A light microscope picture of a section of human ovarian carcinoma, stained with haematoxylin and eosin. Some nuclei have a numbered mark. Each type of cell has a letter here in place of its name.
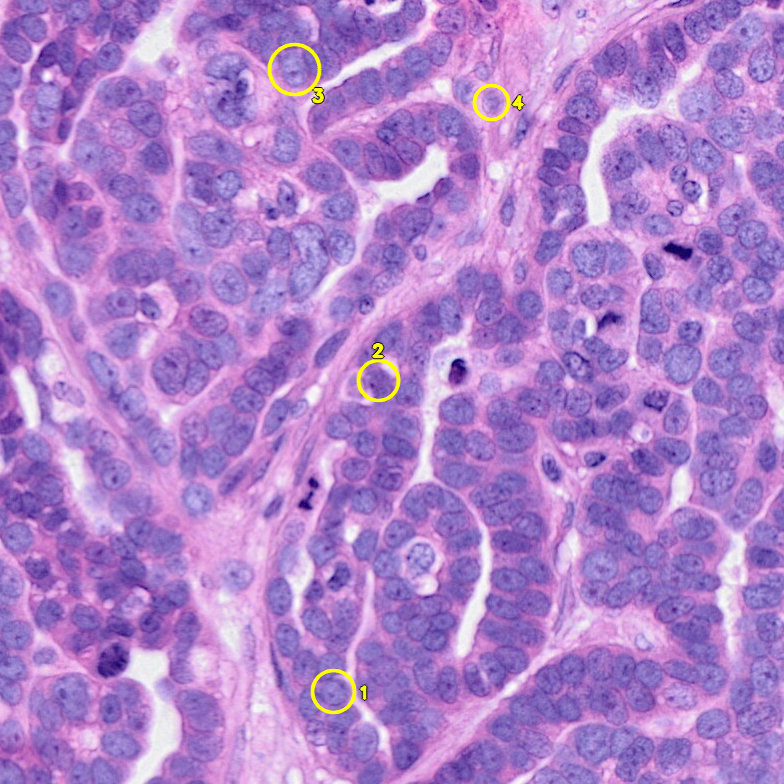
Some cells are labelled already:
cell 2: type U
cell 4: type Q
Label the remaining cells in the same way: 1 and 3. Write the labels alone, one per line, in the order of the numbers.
type U
type U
